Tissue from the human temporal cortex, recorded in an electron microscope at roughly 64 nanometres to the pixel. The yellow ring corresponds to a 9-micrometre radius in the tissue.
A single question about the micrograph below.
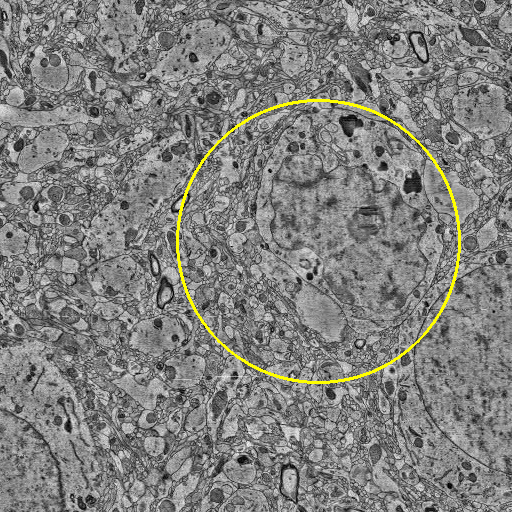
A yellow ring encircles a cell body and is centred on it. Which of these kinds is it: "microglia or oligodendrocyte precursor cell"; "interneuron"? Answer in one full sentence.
The cell body at the centre of the yellow ring belongs to an interneuron.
